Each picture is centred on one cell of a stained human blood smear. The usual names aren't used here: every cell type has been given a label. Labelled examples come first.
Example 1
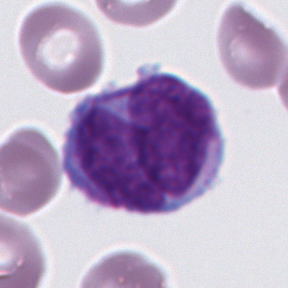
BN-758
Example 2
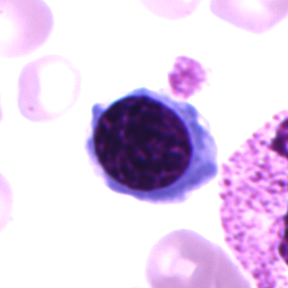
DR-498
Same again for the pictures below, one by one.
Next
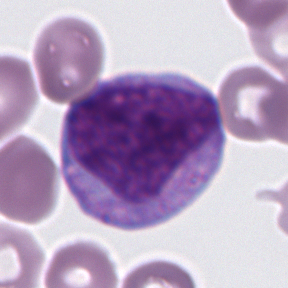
BN-758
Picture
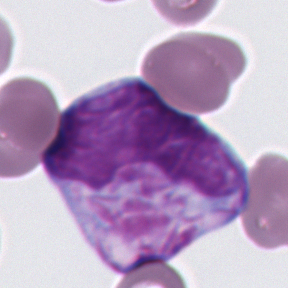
BN-758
